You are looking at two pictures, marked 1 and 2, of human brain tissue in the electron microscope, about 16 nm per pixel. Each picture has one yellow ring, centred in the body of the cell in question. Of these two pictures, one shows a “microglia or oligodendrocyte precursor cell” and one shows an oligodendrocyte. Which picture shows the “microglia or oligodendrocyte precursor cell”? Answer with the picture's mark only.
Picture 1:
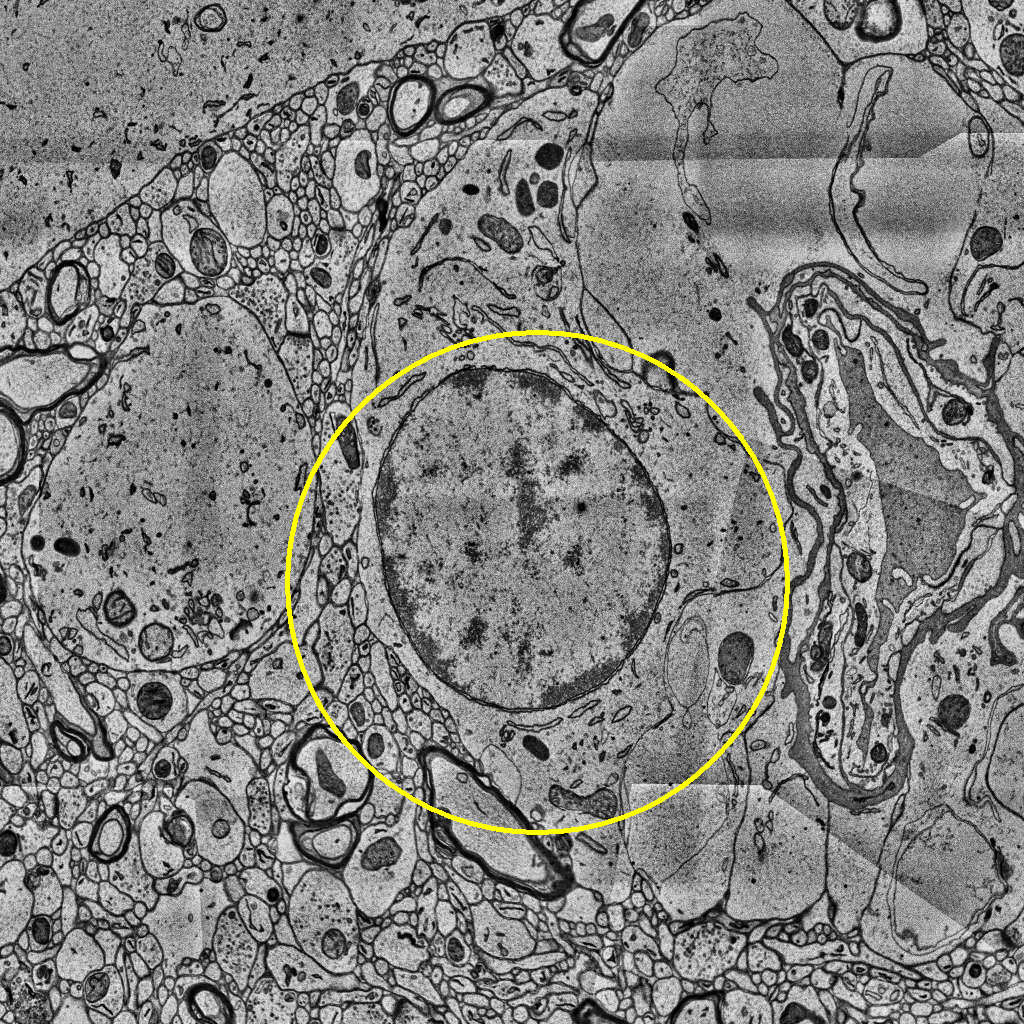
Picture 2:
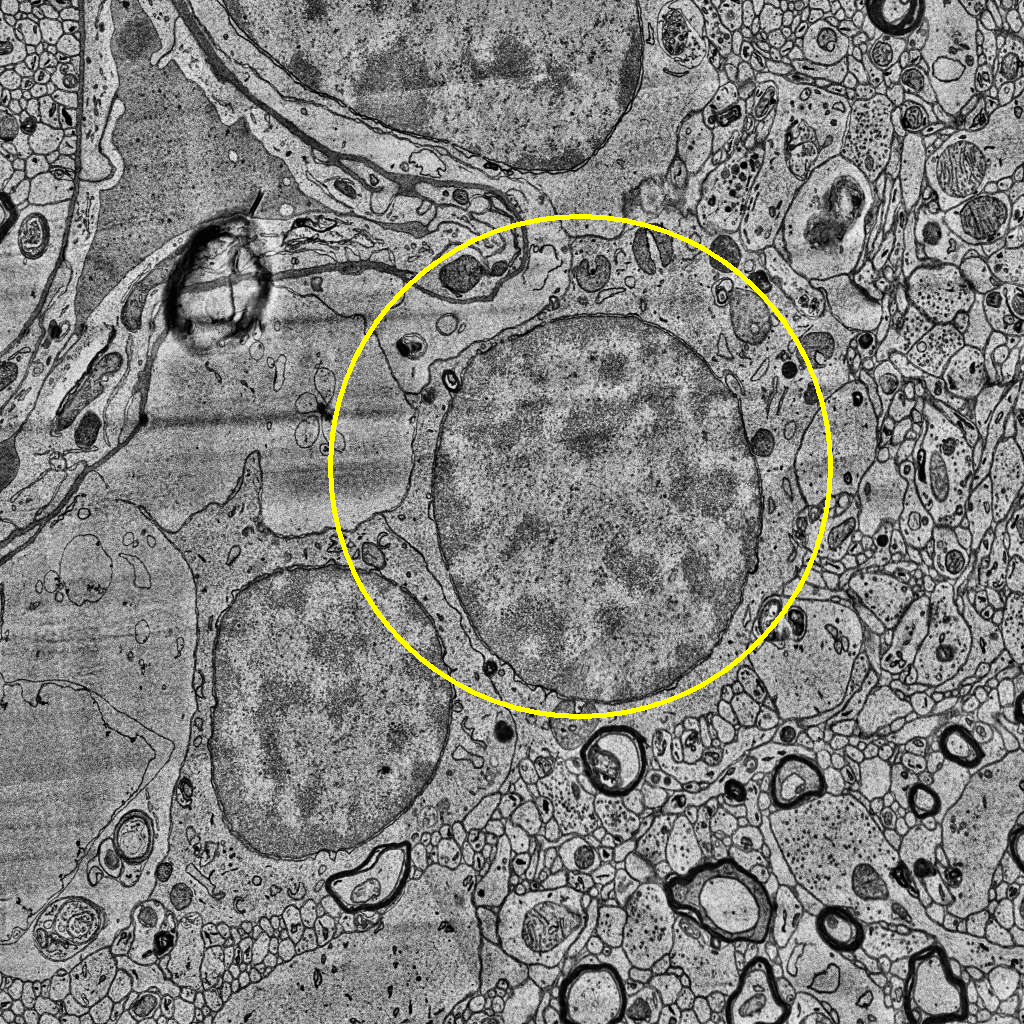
1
